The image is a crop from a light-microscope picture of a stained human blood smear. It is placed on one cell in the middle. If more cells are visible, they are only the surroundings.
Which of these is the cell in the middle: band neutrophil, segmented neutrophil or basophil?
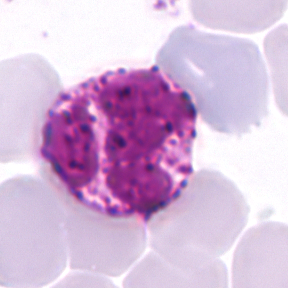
basophil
